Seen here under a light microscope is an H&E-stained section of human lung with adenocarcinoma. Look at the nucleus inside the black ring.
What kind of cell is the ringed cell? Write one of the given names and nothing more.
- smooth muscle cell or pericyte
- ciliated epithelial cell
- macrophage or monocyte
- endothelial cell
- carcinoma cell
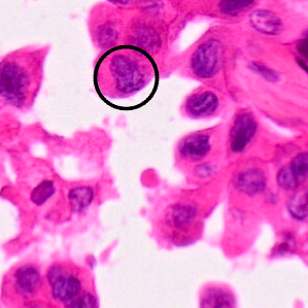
carcinoma cell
